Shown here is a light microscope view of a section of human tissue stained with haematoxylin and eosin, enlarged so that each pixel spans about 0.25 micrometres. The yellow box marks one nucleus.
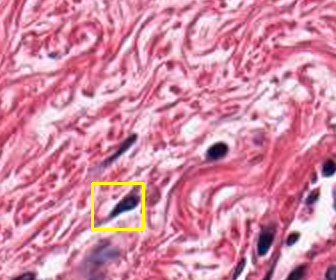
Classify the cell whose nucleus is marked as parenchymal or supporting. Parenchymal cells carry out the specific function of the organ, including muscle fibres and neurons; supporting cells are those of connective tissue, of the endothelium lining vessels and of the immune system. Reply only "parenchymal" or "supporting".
supporting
